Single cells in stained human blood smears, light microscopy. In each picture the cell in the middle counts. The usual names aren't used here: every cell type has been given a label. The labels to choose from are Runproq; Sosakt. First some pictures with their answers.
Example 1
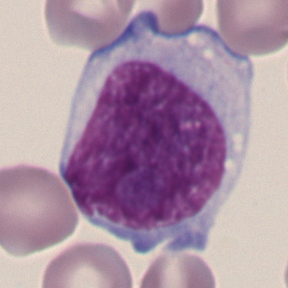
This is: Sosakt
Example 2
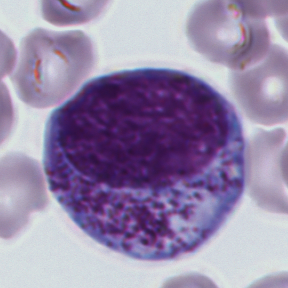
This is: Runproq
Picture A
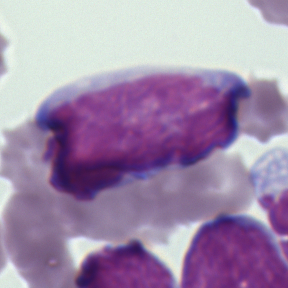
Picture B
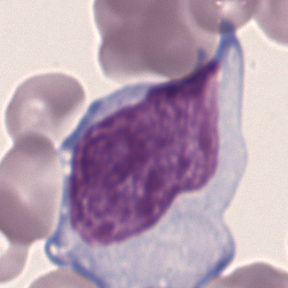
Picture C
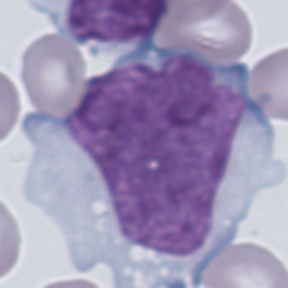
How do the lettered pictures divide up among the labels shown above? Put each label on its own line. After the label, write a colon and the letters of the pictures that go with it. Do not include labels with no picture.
Sosakt: A, B, C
